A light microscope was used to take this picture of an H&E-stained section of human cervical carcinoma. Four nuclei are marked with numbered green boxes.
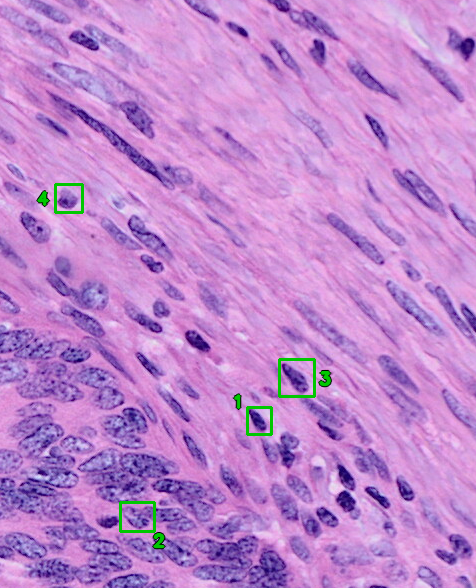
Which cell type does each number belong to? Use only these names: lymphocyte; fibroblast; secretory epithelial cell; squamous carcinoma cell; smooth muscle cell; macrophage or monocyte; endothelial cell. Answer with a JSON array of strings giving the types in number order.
["lymphocyte", "squamous carcinoma cell", "lymphocyte", "lymphocyte"]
